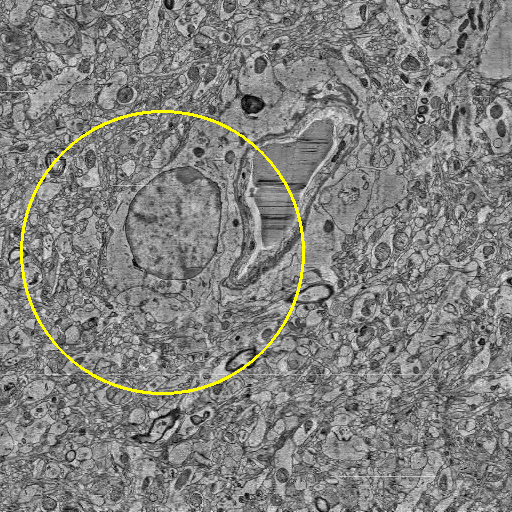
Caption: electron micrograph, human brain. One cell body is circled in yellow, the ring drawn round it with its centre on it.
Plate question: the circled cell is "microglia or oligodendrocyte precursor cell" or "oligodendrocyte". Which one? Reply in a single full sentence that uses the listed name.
The yellow ring on the plate is centred on a microglial cell or oligodendrocyte precursor cell, going by the listed names.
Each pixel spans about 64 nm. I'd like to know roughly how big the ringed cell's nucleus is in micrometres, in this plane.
The nucleus appears roughly 7 by 6 micrometres in this plane.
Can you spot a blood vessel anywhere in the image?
Yes, there is a blood vessel in the image.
